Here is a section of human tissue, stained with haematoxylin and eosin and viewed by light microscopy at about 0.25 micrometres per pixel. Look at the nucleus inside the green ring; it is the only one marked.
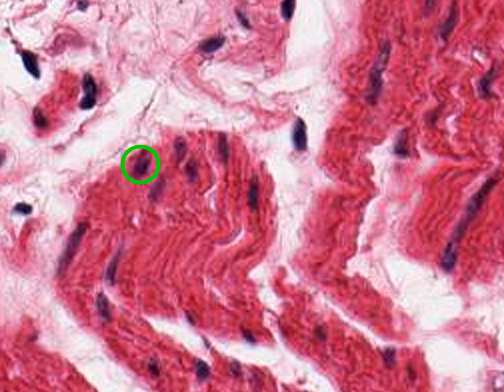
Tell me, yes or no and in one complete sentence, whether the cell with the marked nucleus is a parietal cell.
No, the marked nucleus does not form part of a parietal cell.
